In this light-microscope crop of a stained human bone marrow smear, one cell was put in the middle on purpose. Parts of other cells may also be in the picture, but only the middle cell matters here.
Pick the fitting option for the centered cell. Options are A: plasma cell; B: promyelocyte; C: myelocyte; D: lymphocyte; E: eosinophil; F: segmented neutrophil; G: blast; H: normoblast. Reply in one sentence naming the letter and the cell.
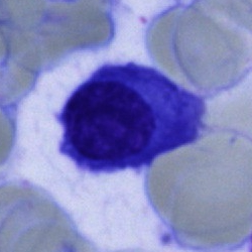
The one to choose is option A, as the cell in the middle is a plasma cell.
